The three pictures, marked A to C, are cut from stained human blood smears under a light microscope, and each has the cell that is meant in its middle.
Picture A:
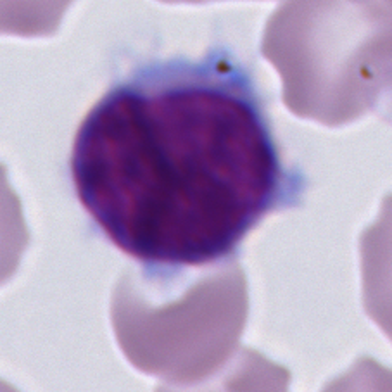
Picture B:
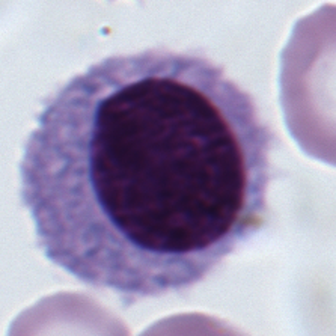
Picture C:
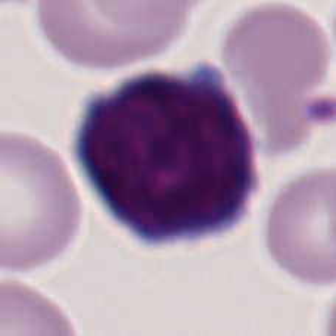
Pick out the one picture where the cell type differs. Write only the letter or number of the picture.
C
